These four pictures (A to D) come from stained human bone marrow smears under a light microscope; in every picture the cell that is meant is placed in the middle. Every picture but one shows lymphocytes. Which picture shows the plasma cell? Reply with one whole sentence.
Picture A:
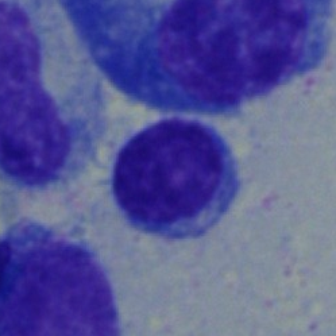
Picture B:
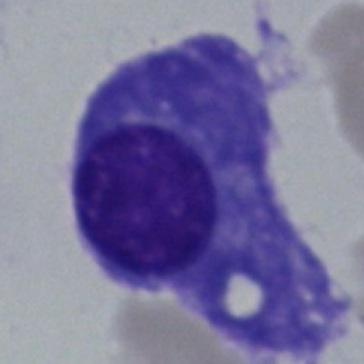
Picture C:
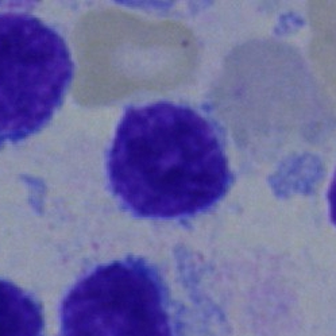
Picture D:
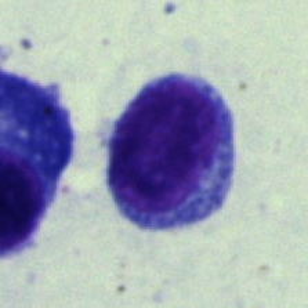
Picture B is the one that shows the plasma cell.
